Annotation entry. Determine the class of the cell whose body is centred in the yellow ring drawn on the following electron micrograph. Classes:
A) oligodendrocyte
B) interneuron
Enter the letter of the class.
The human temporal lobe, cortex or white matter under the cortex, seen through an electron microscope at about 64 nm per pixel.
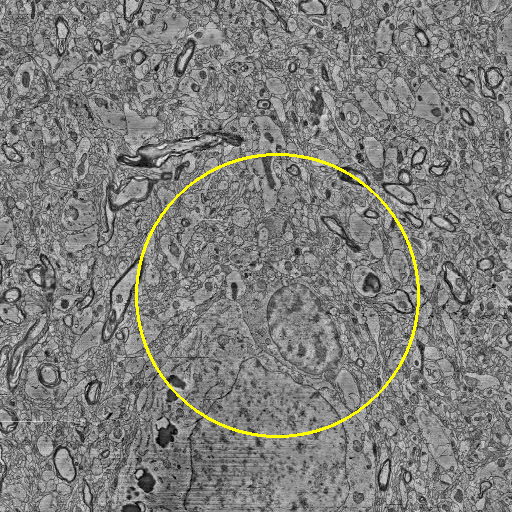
A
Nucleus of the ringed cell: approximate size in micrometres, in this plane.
The ringed cell's nucleus is roughly 6 by 4 micrometres and clearly longer than it is wide in this plane.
